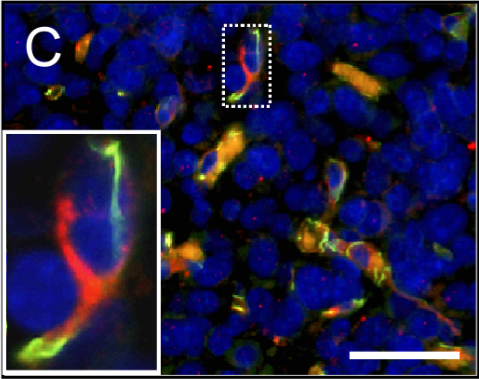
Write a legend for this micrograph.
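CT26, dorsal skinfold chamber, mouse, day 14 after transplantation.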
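This is tumor tissue crossed by small blood vessels. The background is made of densely crowded tumor cells, seen mostly as round and oval blue nuclei packed close together with little space between them. Winding through them are narrow vessels whose walls are thin lines of green, and in places red runs along the same walls, so the lining shows both colours. Inside some vessels lie small orange-yellow bodies without nuclei, the red blood cells in the lumen. The enlarged inset shows one thin vessel wall curving around a nucleus, its lining green in parts and bright red in others.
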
